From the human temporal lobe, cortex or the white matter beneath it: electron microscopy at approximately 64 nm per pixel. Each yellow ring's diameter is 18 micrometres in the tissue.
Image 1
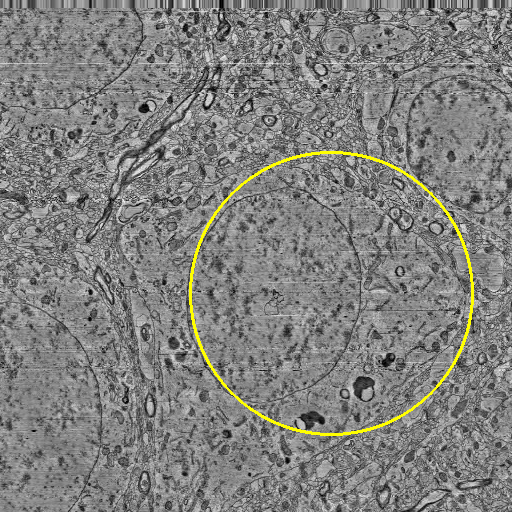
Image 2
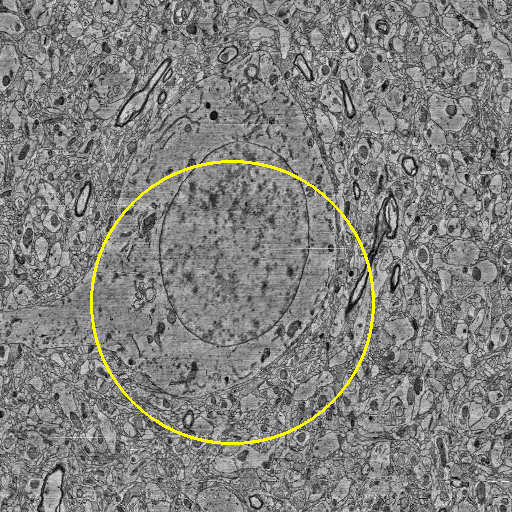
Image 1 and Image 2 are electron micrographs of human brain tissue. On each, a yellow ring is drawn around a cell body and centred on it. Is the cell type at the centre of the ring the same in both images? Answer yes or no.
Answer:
yes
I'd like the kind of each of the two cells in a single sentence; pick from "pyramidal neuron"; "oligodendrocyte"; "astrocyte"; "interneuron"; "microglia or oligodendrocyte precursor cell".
The first and the second cell are each a pyramidal neuron.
